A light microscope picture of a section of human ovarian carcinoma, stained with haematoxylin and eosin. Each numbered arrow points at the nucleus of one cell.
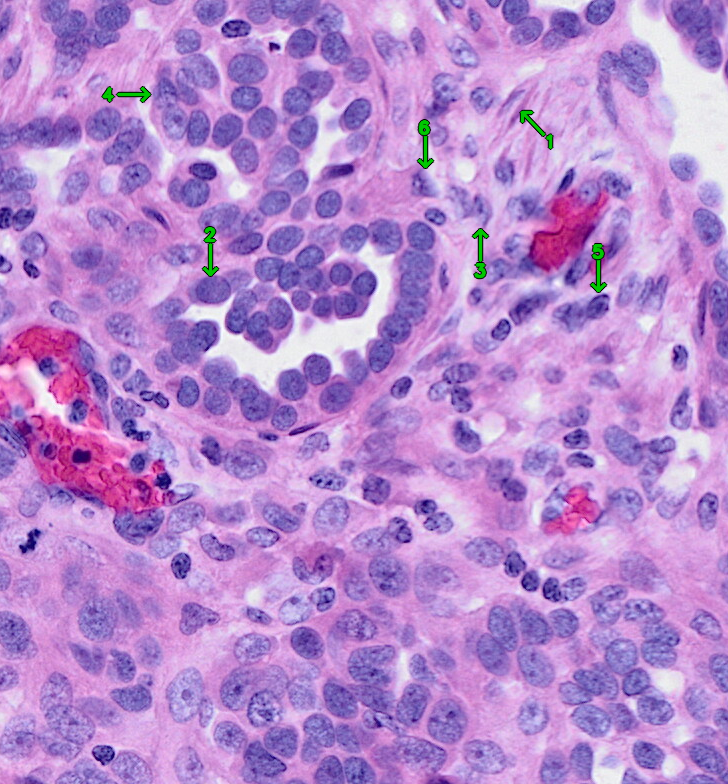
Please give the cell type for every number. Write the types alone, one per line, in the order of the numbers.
fibroblast
carcinoma cell
fibroblast
carcinoma cell
lymphocyte
fibroblast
